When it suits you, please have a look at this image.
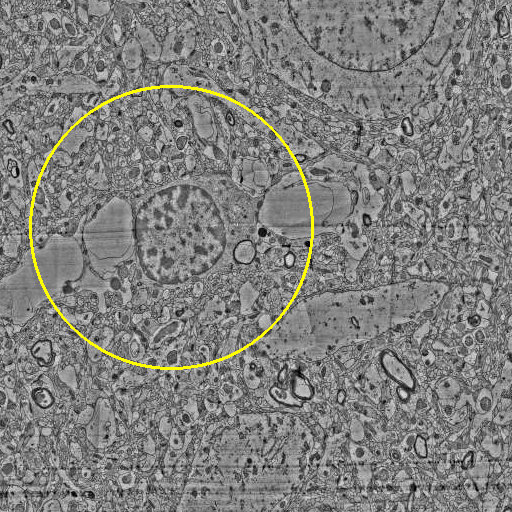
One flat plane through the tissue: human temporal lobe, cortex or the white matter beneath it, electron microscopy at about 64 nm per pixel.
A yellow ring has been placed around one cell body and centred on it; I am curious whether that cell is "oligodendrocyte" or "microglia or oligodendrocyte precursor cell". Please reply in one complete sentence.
The ringed cell, an oligodendrocyte, has its body at the centre of the yellow ring.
